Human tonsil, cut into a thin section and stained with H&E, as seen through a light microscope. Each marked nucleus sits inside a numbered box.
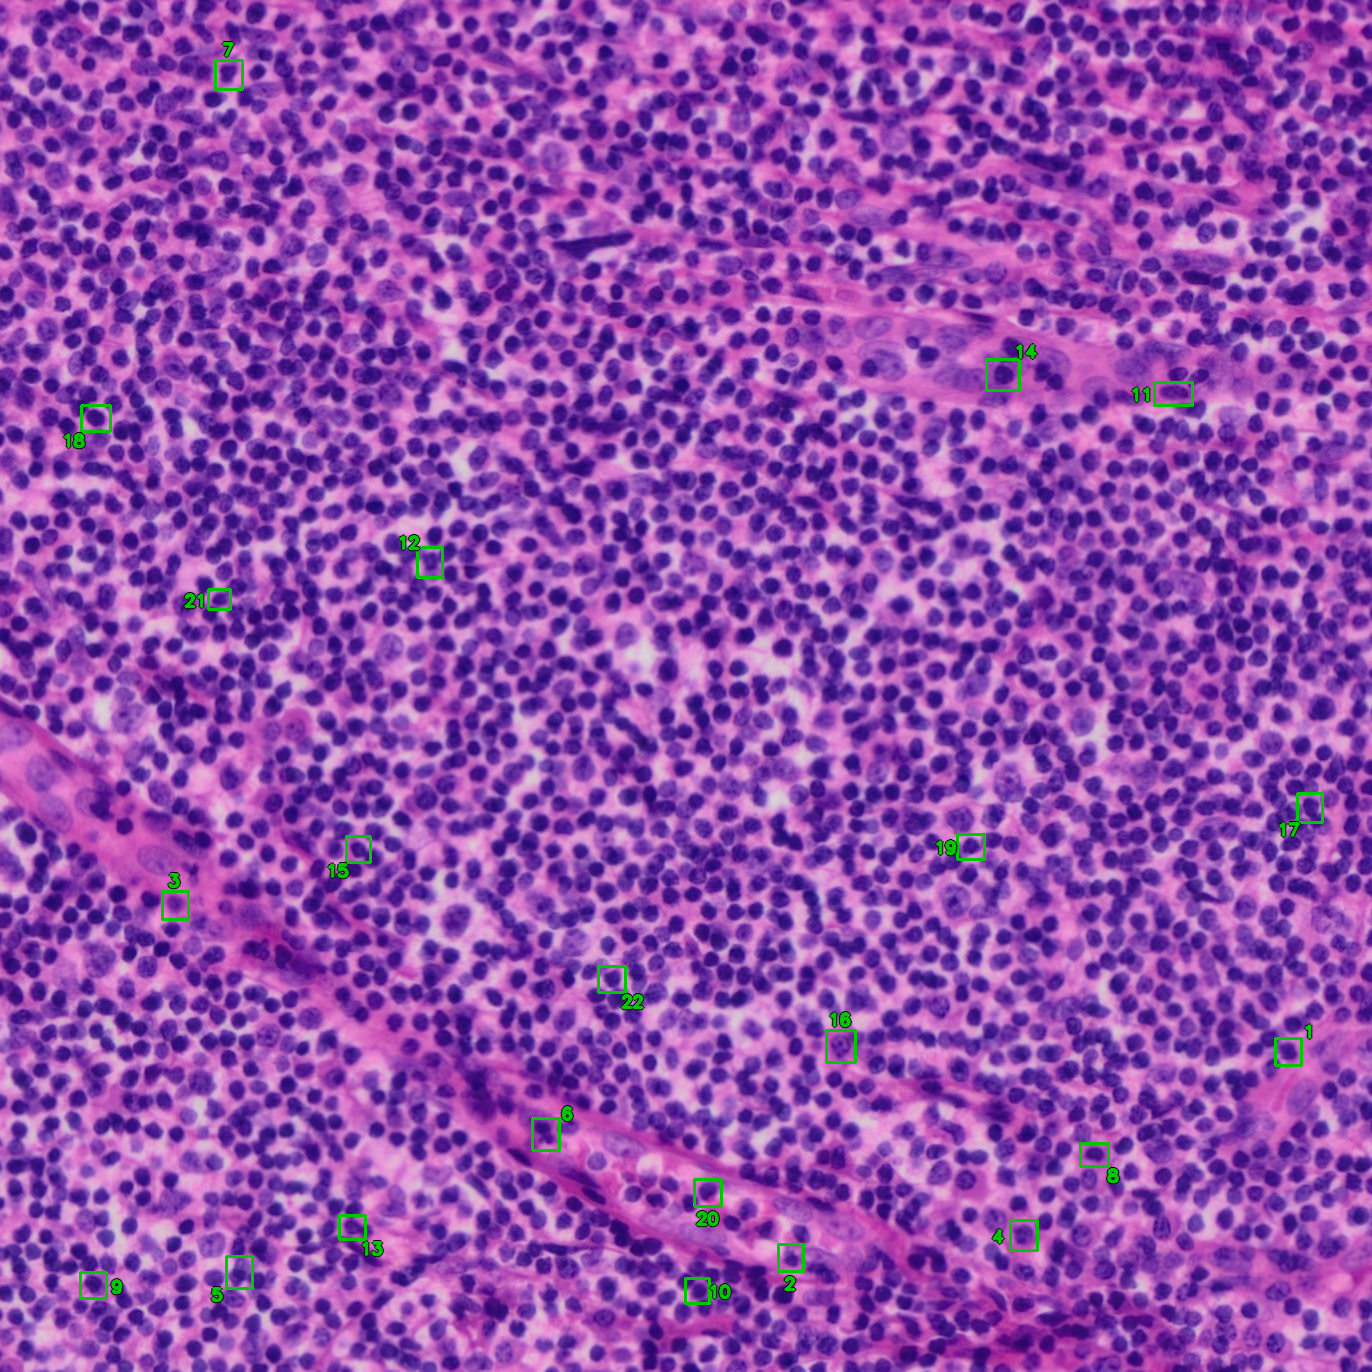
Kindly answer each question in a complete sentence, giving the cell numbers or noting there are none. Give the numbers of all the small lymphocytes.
Cells 5, 7, 9, 10, 12, 13, 15, 17, 18, 19, 21 and 22 are small lymphocytes by cell type.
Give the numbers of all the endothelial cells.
Cells 1, 2, 3, 6, 11, 14 and 20 are endothelial cells by cell type.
